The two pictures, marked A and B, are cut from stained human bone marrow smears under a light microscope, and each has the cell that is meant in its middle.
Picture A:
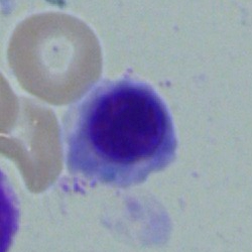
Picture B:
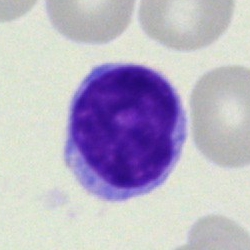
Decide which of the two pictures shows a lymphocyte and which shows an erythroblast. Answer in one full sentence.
The cell in picture A is an erythroblast, and the one in picture B is a lymphocyte.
